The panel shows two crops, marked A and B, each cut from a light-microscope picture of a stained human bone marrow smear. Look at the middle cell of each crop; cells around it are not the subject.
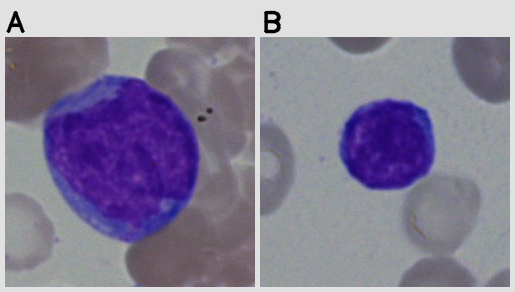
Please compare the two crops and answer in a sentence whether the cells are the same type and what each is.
No, the central cell of crop A is a blast; that of crop B is a lymphocyte.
